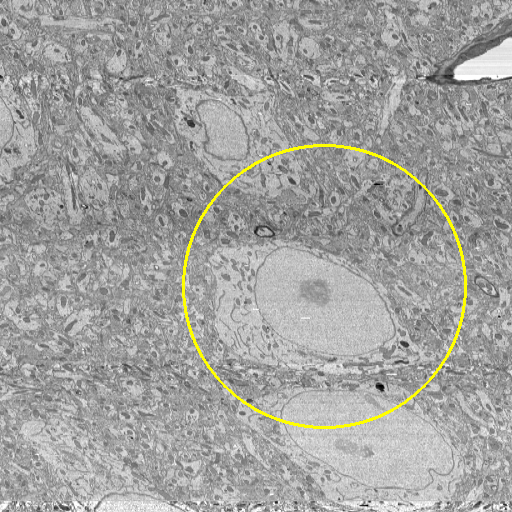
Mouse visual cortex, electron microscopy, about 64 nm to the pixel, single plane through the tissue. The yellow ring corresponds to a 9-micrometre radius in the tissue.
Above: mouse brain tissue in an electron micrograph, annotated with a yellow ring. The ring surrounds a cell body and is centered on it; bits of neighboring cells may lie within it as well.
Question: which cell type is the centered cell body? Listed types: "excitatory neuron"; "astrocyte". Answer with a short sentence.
The centered cell body is an excitatory neuron.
